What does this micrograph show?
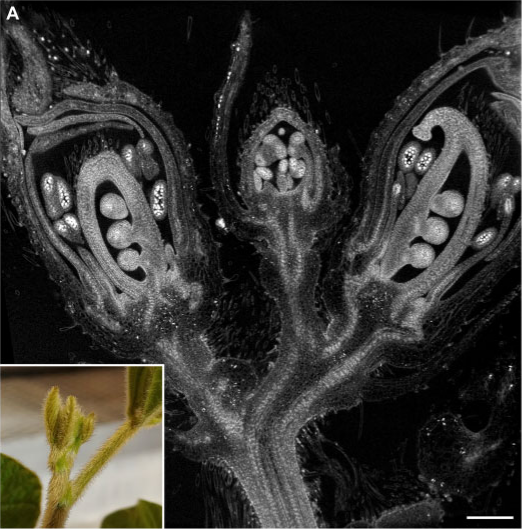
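This is a section through a cluster of axillary buds of a flowering plant, shown in greyscale, with each young flower set on a branching stalk. Each bud is enclosed by thin, hairy outer layers. Inside these lie a curved central organ and several rounded anthers. Many of the anthers contain bright grains.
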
